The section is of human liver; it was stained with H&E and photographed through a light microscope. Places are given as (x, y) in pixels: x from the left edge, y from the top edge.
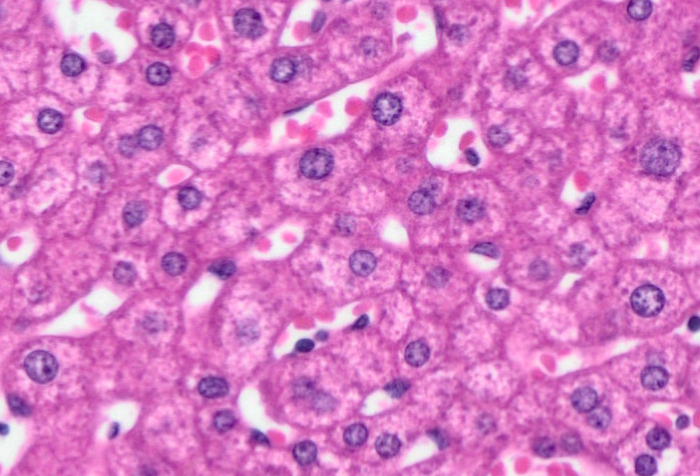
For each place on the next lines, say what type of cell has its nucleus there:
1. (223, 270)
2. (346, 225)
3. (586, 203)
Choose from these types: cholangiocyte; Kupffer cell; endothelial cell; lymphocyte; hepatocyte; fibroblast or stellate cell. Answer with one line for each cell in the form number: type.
1: endothelial cell
2: hepatocyte
3: endothelial cell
